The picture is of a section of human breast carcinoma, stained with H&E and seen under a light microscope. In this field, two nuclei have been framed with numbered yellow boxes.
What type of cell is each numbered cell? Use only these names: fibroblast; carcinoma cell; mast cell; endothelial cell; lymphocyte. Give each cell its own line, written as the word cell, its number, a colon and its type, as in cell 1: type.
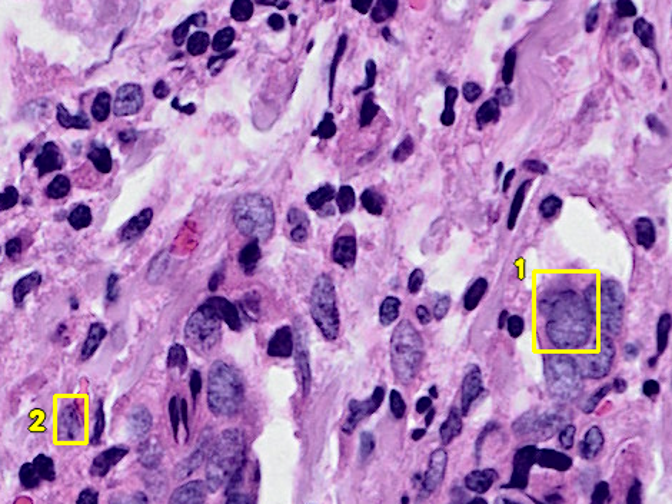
cell 1: carcinoma cell
cell 2: endothelial cell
